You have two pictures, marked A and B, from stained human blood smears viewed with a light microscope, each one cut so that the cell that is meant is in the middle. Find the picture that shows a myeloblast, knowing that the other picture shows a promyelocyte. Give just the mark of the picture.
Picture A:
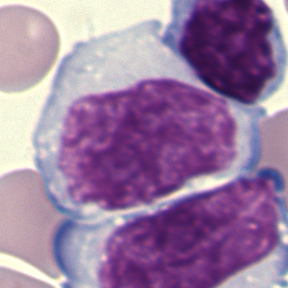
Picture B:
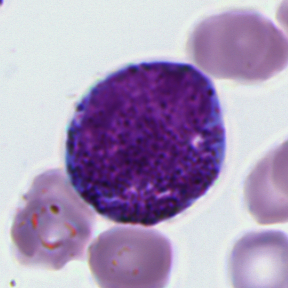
A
